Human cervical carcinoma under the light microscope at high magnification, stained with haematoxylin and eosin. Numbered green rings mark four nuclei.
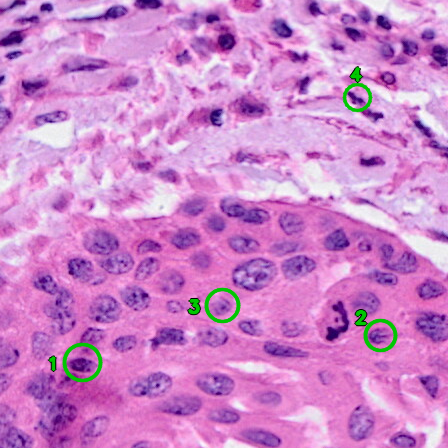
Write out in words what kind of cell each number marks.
Cell 1 is a squamous carcinoma cell, cell 2 is a squamous carcinoma cell, cell 3 is a squamous carcinoma cell and cell 4 is a fibroblast.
